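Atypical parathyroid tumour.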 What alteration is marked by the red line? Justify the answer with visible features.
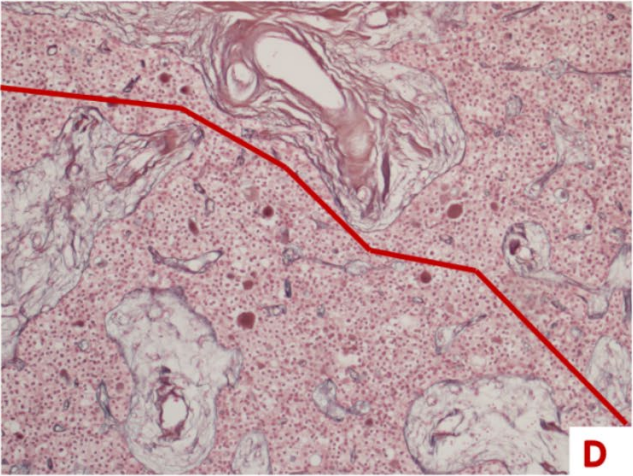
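Destruction of reticular fibre structure. Along the red line the tumour cells lie in a continuous sheet without dark fibres between them. Dark-staining fibres remain only around vessels and septa.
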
